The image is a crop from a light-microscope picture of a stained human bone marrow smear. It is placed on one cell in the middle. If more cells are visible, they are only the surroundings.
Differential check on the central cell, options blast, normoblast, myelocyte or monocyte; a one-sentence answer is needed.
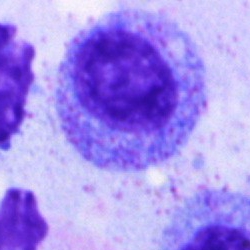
The target cell in the middle of the crop is a myelocyte.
